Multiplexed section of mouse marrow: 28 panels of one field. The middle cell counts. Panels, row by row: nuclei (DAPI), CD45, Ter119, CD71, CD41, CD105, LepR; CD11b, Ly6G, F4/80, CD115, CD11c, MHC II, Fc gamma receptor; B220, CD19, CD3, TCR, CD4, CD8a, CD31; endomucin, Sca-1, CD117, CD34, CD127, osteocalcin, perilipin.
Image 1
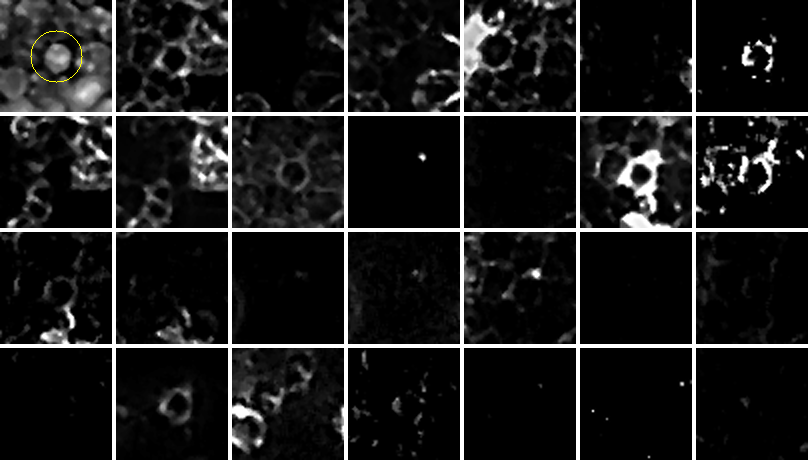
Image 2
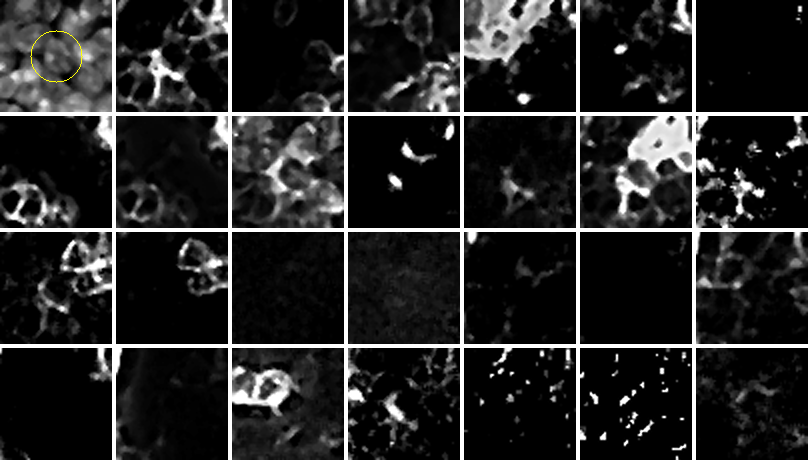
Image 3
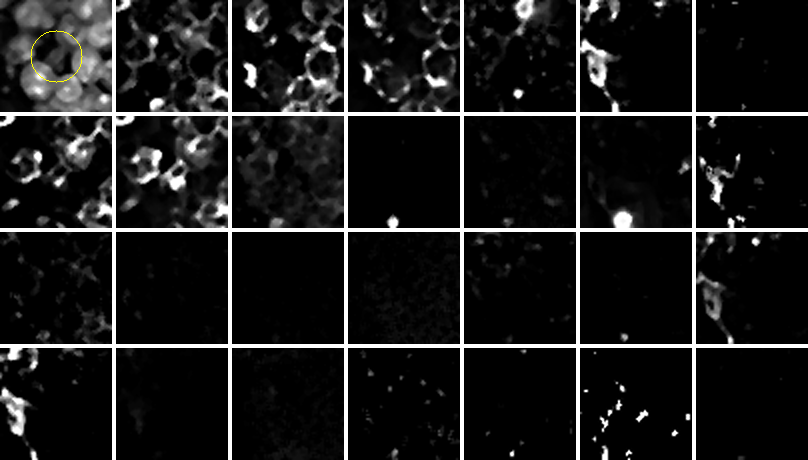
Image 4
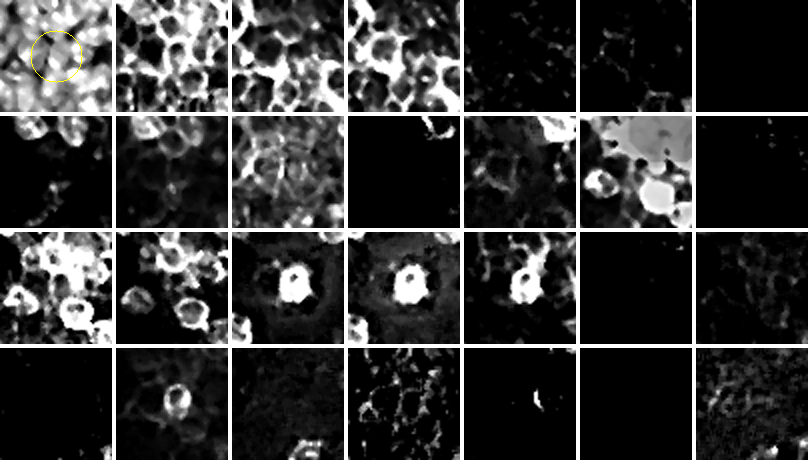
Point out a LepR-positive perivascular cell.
That is picture 1.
